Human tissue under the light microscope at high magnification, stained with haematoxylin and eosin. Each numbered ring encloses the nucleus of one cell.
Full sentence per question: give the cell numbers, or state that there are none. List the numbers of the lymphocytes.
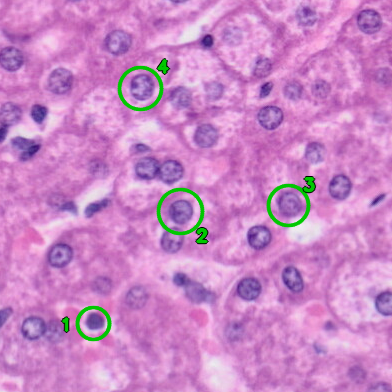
Cell 1 represents a lymphocyte, and no other numbered cell does.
